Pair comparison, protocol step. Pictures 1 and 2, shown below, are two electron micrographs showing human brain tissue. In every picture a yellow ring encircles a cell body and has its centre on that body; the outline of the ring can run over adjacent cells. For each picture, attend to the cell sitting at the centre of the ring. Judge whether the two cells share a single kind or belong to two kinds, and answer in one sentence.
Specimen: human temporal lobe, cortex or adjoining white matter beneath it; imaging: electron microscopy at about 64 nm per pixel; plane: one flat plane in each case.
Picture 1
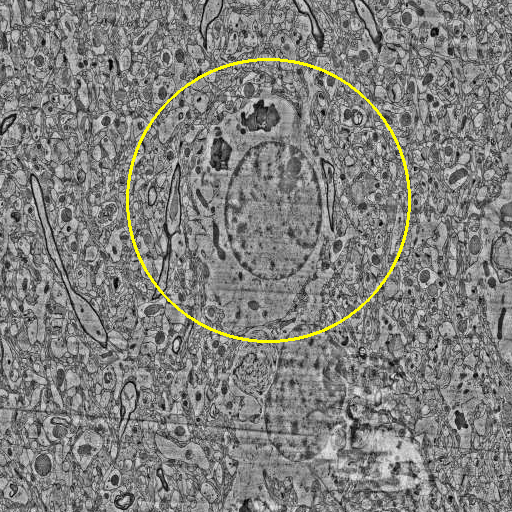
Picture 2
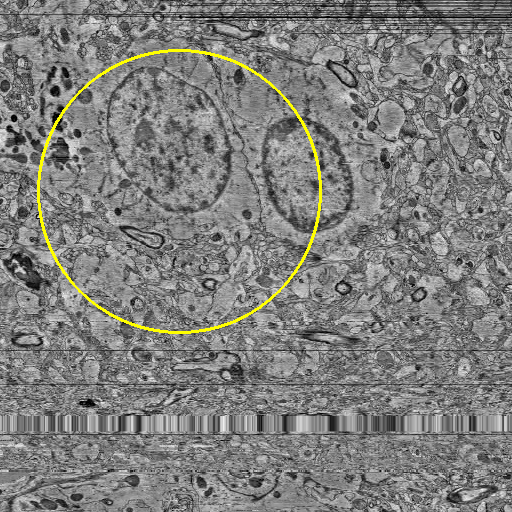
The two cells at the ring centres in Picture 1 and Picture 2 share a single kind.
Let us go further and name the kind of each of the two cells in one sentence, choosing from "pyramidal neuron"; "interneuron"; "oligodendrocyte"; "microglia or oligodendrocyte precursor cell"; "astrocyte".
Both the first and the second picture show an astrocyte in the ring.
